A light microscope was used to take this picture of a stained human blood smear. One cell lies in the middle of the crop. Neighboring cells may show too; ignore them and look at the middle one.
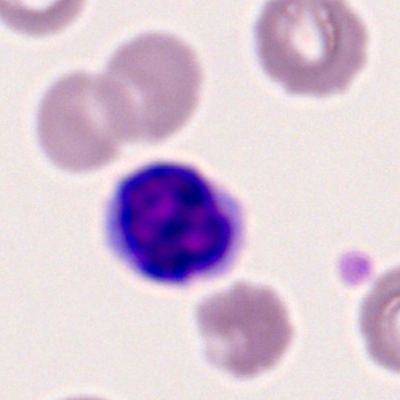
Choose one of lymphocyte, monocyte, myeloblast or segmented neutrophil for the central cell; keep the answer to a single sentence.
Centrally within this crop lies a lymphocyte.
